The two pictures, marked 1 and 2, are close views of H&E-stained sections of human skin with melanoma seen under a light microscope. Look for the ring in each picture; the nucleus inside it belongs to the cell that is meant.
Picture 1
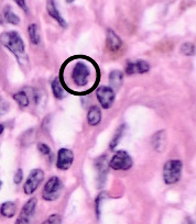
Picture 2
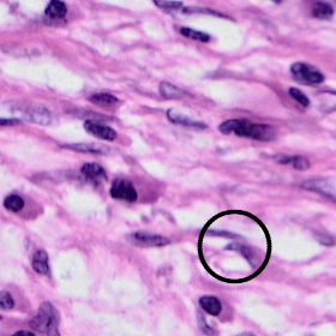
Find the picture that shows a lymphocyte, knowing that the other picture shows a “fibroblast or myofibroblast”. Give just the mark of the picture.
1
